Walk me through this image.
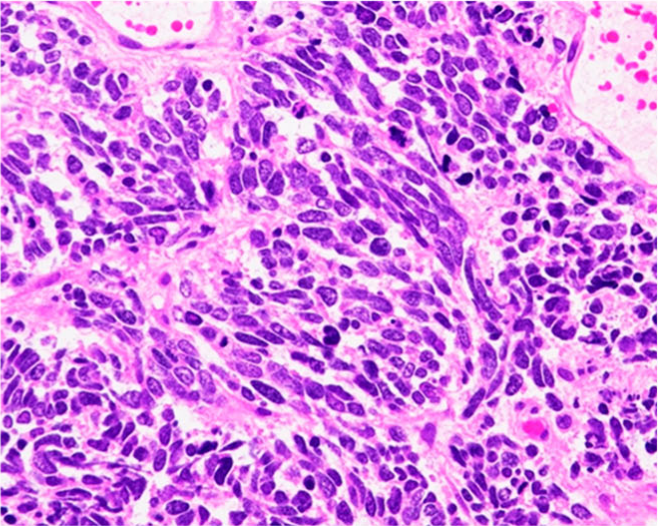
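This higher-power view shows a solid, poorly differentiated tumor made of crowded round to spindle-shaped cells. The nuclei are dark purple and oval to elongated, with very little surrounding cytoplasm. Many of the spindle cells are lined up in streams, and neighbouring nuclei press against one another so that their contours fit together like a mold. The chromatin looks finely granular, without prominent nucleoli. Thin pale pink strands of stroma divide the cells into small nests, and a few clear spaces lie at the edges.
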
